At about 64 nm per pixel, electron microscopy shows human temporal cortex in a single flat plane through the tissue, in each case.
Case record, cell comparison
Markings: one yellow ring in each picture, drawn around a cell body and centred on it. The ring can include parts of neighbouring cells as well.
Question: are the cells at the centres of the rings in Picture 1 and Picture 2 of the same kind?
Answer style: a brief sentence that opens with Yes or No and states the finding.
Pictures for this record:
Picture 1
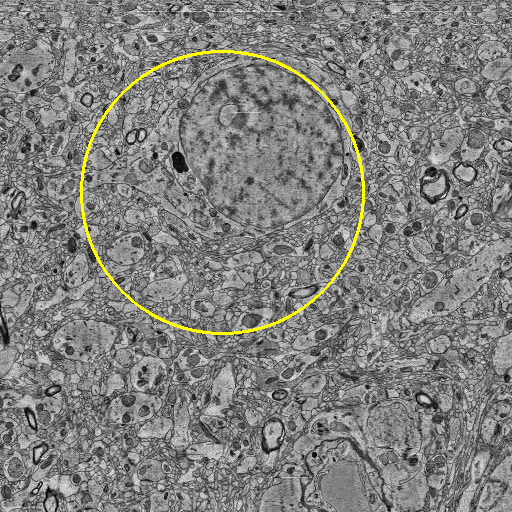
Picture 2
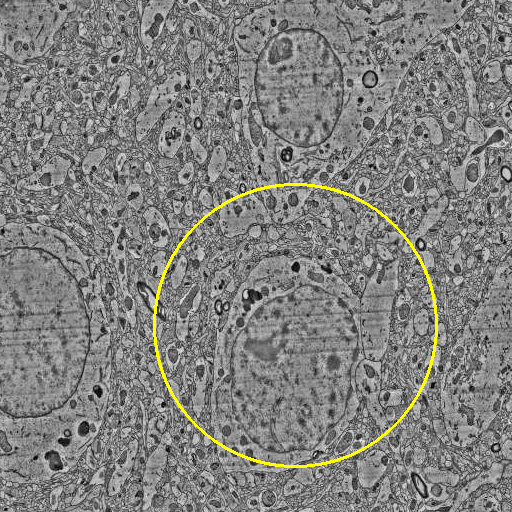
Yes, the cells in Picture 1 and Picture 2 are of the same kind.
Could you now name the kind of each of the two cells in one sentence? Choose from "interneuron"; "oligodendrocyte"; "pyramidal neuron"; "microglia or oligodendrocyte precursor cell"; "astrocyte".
The second cell is an interneuron, just as the first is.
